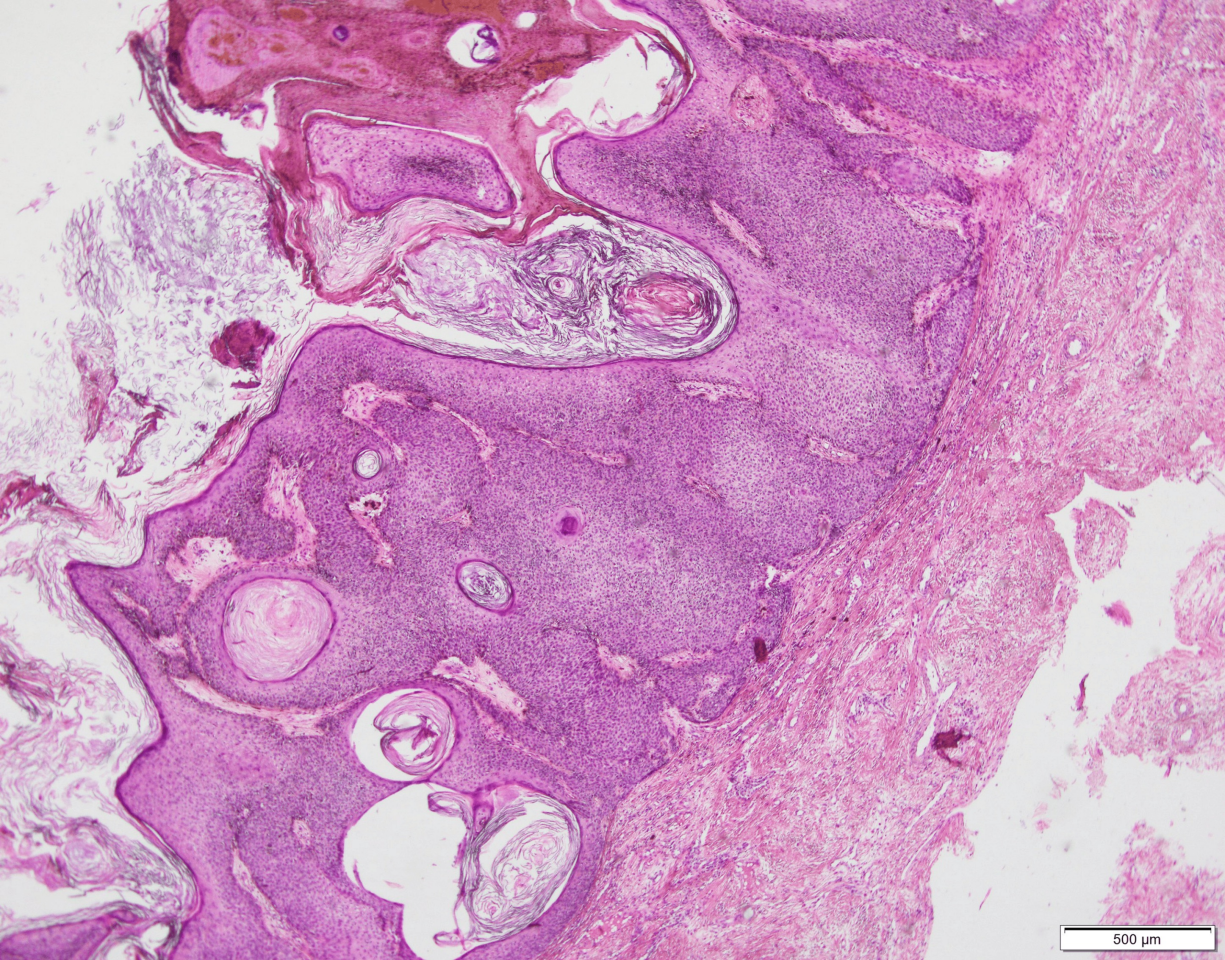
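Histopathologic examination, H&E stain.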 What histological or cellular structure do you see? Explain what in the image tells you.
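Horn cysts. Several round spaces inside the epidermal proliferation are filled with concentric, laminated pink keratin. The cysts are rimmed by the surrounding epithelium.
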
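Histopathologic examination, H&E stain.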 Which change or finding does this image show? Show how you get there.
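Thick, layered pink-orange keratin lies over the epidermis at the upper left. Flaky keratin material extends along the surface on the left.
Answer: hyperkeratosis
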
